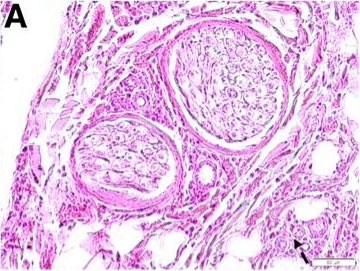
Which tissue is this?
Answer: nerves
